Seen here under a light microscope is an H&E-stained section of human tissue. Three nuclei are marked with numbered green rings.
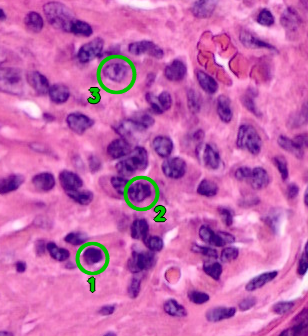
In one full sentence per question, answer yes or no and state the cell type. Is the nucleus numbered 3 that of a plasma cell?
Yes, the cell given number 3 is a plasma cell.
